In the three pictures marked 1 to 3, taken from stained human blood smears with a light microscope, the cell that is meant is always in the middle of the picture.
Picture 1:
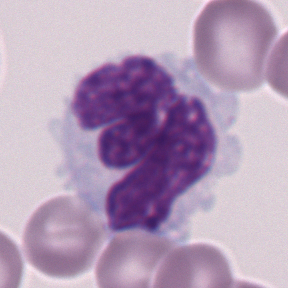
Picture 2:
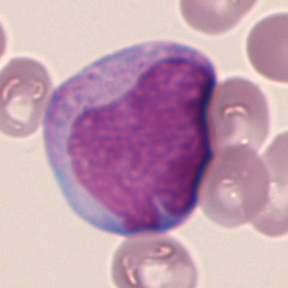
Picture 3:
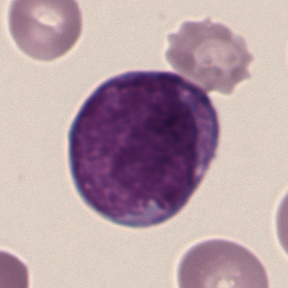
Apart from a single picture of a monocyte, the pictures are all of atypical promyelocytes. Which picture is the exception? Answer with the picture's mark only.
1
